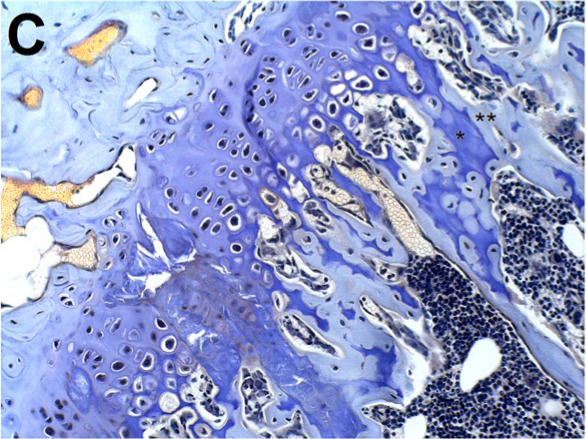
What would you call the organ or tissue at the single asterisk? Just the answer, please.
Calcified cartilage.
